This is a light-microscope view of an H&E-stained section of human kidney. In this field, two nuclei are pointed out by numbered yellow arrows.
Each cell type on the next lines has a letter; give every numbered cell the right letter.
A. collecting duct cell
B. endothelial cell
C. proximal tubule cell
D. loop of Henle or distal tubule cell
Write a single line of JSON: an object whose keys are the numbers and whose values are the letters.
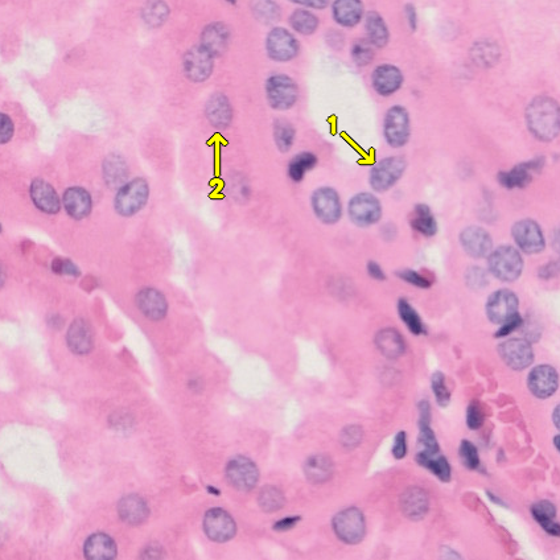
{"1": "A", "2": "C"}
